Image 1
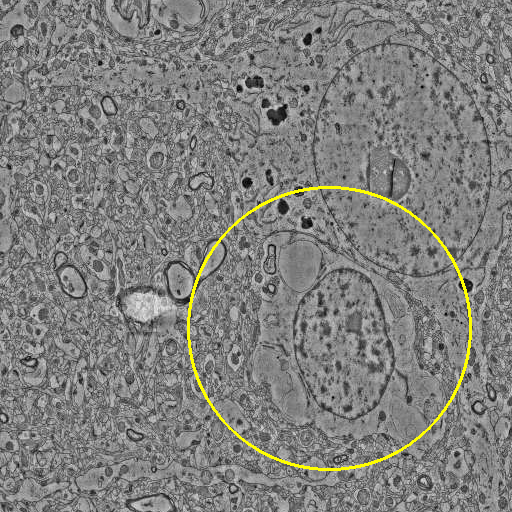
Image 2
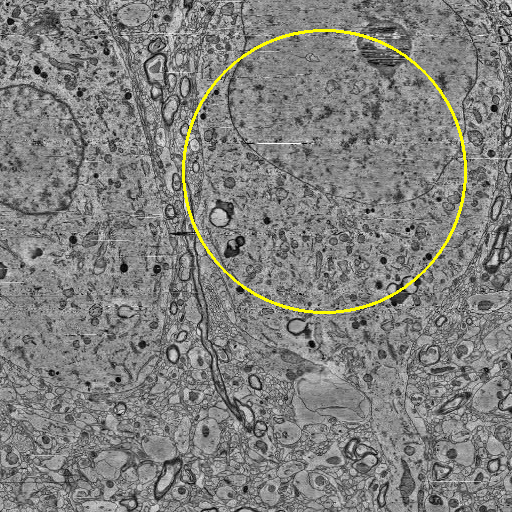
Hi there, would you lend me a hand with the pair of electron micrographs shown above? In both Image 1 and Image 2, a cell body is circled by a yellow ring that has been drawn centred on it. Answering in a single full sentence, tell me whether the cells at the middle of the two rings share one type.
No, the ringed cells in Image 1 and Image 2 belong to two types.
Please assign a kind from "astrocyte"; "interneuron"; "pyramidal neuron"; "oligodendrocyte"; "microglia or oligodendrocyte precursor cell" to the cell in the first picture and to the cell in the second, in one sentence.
In the first picture we have an astrocyte, and in the second, a pyramidal neuron.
